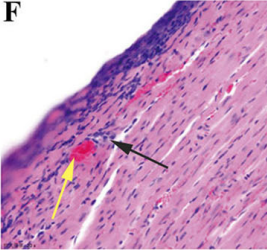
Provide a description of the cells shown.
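Heart muscle in which pink, elongated cardiac muscle fibers run diagonally across the field, each carrying slender, dark blue, spindle-shaped nuclei. Along the upper left edge a dense band of small, round, dark blue nuclei crowds into the outer layer of the muscle, an inflammatory infiltrate. Beside it, between fibers, lies a compact pool of bright red blood cells, showing interstitial congestion. The fibers in this region look paler pink than usual, and narrow white clefts separate some of them.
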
